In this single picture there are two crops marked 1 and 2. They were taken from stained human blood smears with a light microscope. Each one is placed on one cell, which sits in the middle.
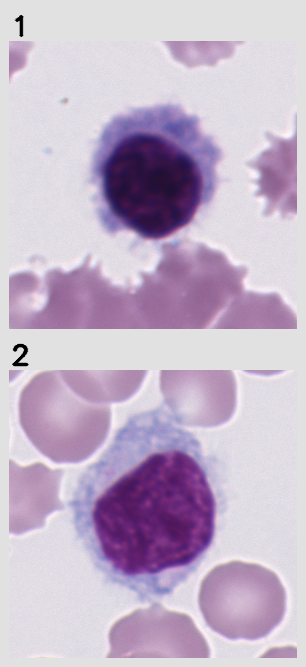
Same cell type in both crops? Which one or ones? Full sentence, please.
Yes, hairy cells are shown in both crops.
